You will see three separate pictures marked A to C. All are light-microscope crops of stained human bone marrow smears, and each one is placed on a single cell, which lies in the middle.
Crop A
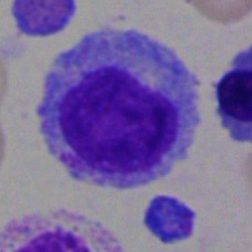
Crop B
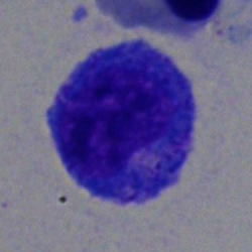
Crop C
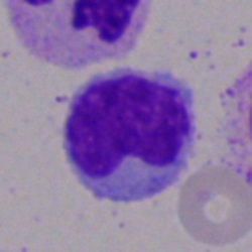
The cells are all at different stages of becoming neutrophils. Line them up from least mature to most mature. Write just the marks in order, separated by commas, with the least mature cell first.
B, A, C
